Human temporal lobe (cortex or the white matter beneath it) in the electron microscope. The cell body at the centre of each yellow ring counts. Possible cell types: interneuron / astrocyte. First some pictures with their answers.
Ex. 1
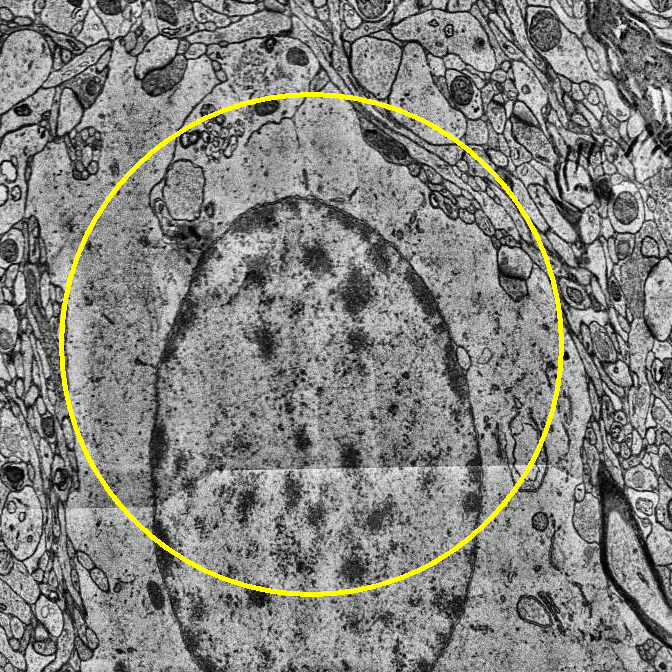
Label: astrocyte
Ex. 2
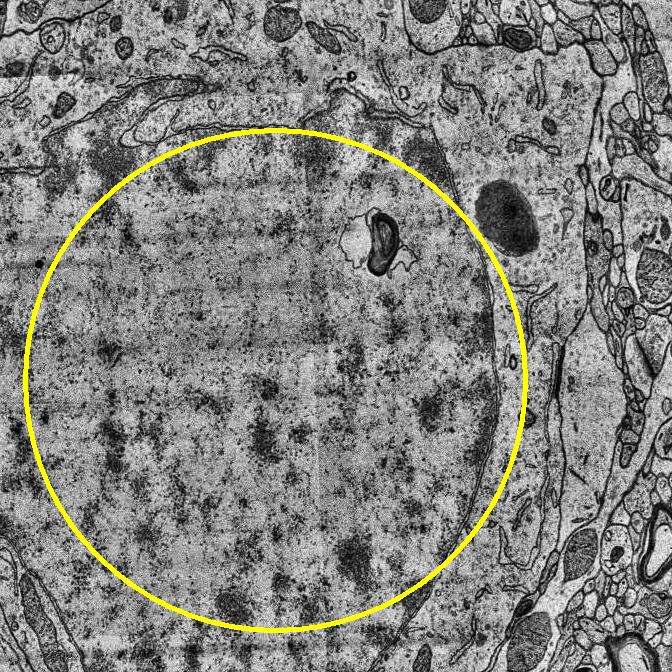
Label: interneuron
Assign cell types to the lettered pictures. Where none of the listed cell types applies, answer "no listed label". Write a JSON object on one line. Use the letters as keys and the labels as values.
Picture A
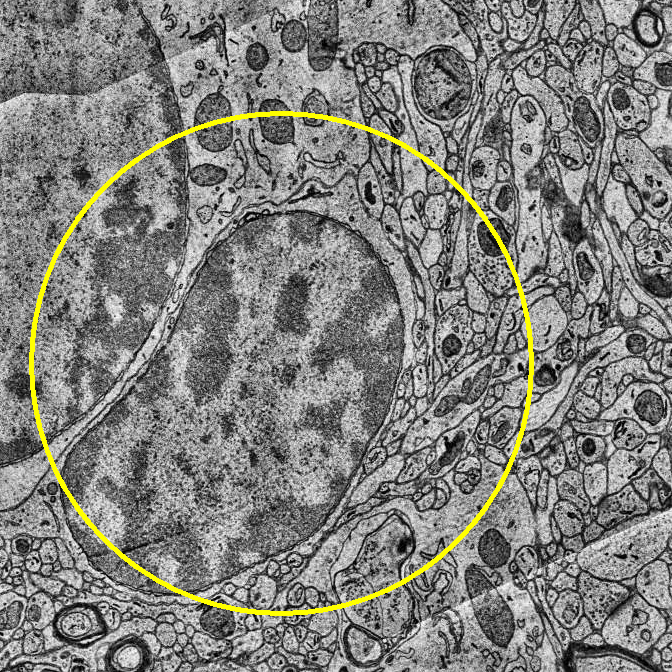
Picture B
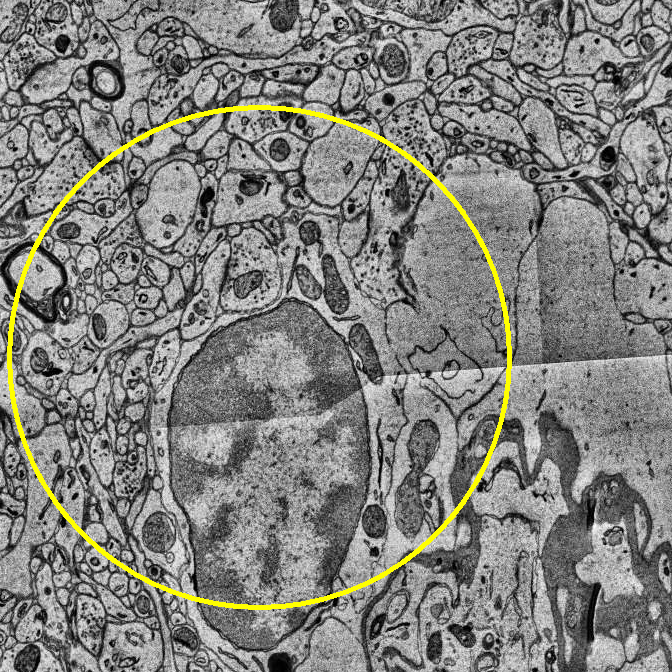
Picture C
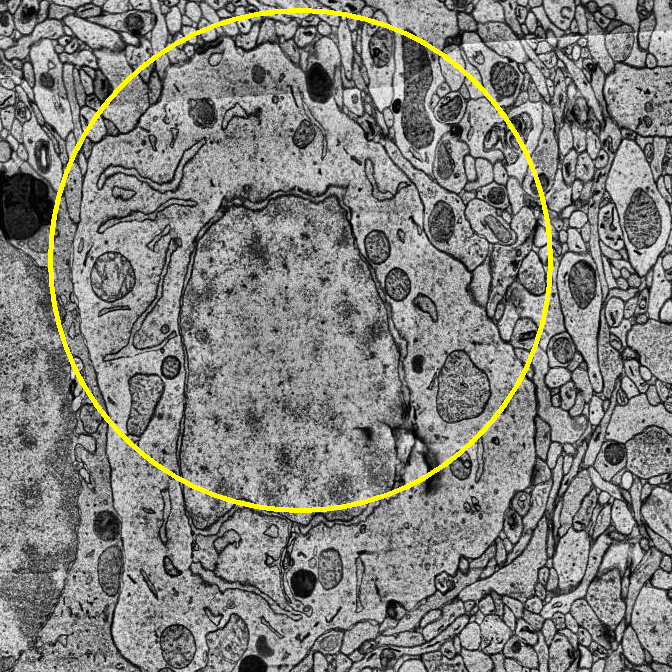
{"A": "no listed label", "B": "no listed label", "C": "interneuron"}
